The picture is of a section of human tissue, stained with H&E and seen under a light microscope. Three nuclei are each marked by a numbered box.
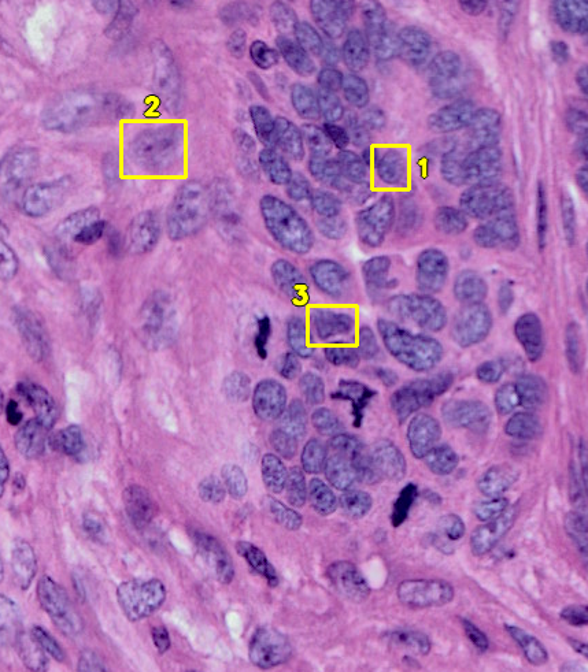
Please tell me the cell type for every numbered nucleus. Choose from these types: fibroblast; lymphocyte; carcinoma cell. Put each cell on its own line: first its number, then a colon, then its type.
1: carcinoma cell
2: fibroblast
3: carcinoma cell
